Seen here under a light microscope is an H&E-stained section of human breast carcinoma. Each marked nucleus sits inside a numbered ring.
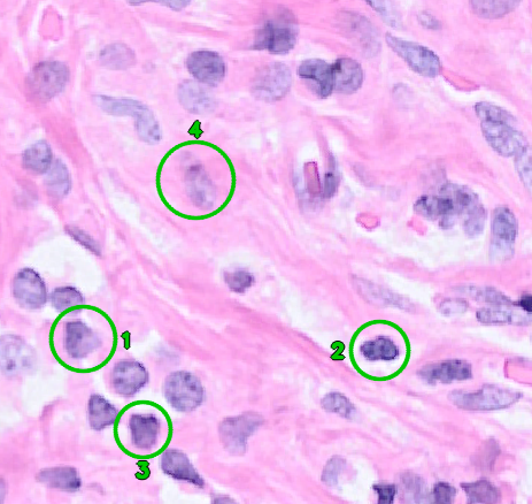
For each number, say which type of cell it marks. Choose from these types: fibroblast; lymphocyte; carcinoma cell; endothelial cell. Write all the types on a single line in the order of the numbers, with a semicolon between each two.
carcinoma cell; lymphocyte; carcinoma cell; fibroblast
